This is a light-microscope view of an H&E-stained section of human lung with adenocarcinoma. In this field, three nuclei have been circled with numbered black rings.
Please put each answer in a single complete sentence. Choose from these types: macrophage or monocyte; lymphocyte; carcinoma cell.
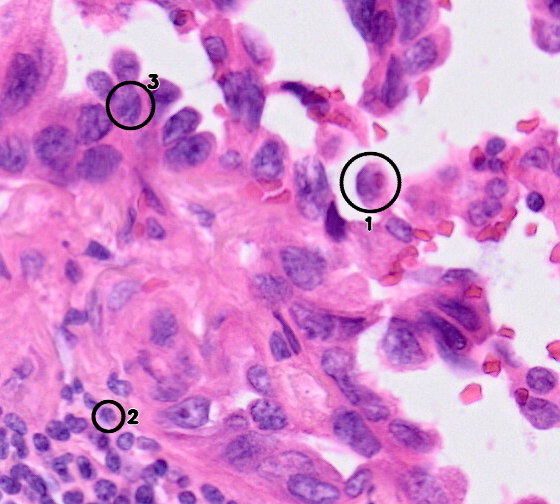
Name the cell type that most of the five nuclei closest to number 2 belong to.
Lymphocytes account for more than half of the five nuclei nearest to number 2.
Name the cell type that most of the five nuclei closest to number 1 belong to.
The majority of the five nuclei closest to number 1 belong to macrophages or monocytes.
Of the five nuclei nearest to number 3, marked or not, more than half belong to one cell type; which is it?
Around number 3, most of the five nearest nuclei are those of carcinoma cells.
